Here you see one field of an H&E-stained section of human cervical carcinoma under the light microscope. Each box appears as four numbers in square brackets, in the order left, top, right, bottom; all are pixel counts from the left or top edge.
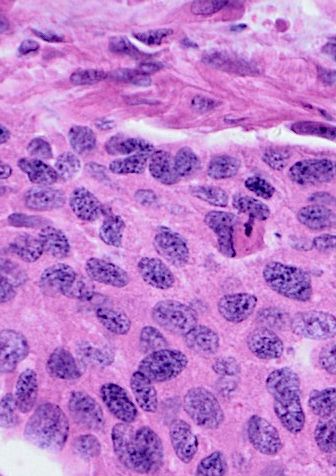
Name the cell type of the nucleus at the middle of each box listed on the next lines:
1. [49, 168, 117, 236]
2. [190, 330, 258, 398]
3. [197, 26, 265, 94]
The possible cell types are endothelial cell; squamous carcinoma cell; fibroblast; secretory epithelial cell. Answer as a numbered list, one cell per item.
1. squamous carcinoma cell
2. squamous carcinoma cell
3. fibroblast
